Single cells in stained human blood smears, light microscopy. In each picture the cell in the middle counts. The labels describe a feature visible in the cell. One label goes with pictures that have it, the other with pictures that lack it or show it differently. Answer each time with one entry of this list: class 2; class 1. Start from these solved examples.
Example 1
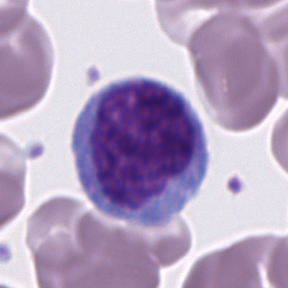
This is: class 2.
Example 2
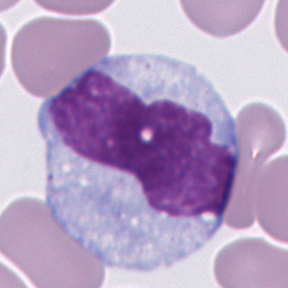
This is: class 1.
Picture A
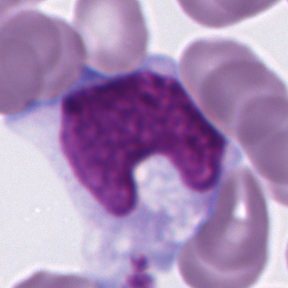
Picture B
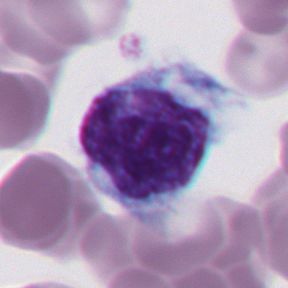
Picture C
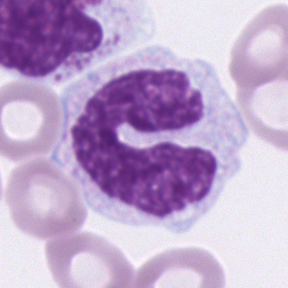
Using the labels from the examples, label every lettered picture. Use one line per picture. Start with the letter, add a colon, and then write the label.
A: class 1.
B: class 2.
C: class 1.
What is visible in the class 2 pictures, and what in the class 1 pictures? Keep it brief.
In class 2: round or oval nucleus. In class 1: band-shaped nucleus.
